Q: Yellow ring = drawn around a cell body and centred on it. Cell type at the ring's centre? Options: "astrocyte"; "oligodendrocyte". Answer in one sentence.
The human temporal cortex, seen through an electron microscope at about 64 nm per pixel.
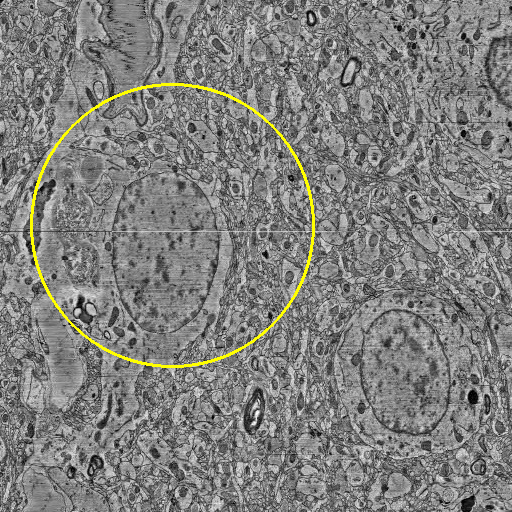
Centred in the ring is an astrocyte.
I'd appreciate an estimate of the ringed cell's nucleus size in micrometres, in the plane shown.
The nucleus of the ringed cell is clearly longer than it is wide in this plane, about 11 by 7 micrometres.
